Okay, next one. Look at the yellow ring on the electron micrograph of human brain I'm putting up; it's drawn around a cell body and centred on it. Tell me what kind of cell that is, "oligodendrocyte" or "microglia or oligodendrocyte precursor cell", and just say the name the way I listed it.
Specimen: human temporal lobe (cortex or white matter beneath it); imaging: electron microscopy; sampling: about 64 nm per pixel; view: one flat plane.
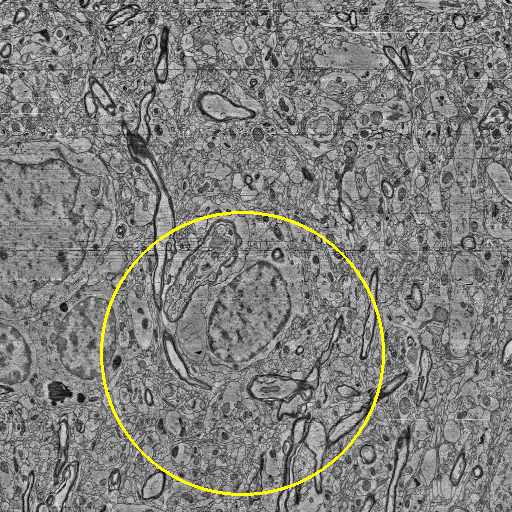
microglia or oligodendrocyte precursor cell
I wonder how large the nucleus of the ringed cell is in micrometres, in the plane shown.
The nucleus of the ringed cell is clearly longer than it is wide in this plane, about 7 by 5 micrometres.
